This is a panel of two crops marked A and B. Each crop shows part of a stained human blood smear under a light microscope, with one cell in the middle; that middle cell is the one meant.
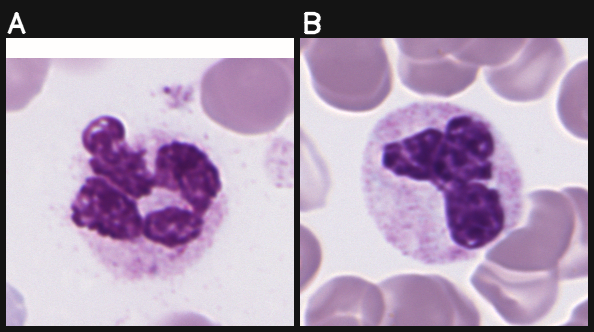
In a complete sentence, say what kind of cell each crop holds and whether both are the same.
Yes, in both crops the centred cells are neutrophils.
